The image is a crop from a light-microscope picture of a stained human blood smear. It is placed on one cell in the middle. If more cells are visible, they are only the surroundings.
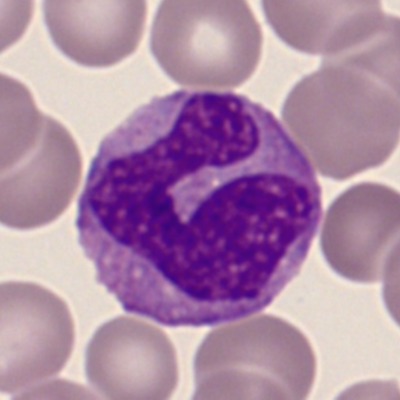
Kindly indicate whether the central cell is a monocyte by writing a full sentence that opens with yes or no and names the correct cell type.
Yes, the cell here in the middle is a monocyte.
